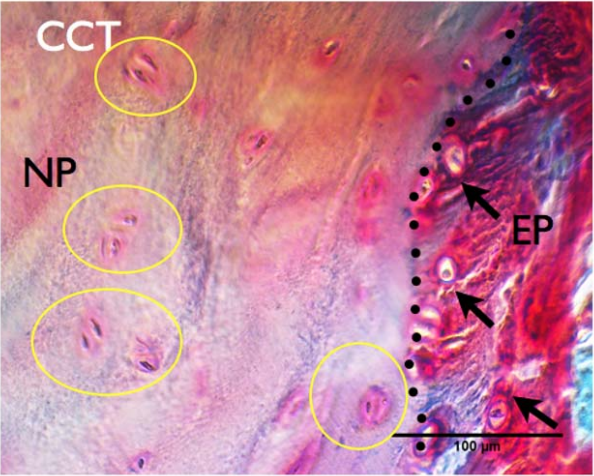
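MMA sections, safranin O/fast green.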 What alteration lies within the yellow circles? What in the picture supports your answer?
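The circled cells have narrow, elongated dark nuclei. No clear rounded space surrounds the circled cells. The circled cells lie in the paler matrix left of the dotted line.
Answer: cells with spindle-shaped nucleus and cell lacunae were lost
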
